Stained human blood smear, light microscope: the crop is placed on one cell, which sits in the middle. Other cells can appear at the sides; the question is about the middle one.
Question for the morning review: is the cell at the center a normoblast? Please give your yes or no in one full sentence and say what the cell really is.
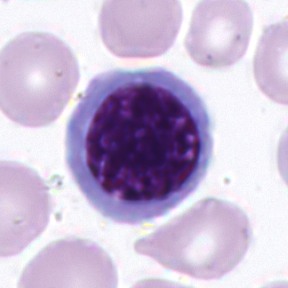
Yes, the middle cell in this crop is a normoblast.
